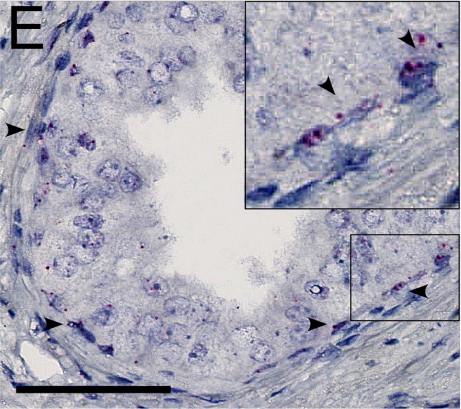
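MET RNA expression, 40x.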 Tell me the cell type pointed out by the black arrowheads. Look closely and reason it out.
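Basal epithelial cells. The arrowheads point to flattened cells at the outer rim of the gland. These cells lie beneath the larger luminal cells, next to the stroma. Small red-purple dots sit in these cells.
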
